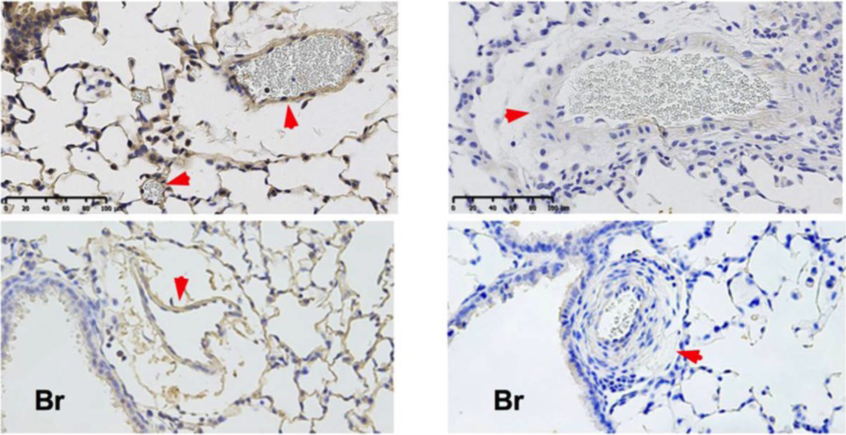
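In the left pair of images brown stain outlines the alveolar walls and the walls of the vessels, one of which is packed with red blood cells. In the right pair the tissue is almost entirely blue with little brown, and the lower right vessel has a thick wall of concentric layered cells around a small lumen.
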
